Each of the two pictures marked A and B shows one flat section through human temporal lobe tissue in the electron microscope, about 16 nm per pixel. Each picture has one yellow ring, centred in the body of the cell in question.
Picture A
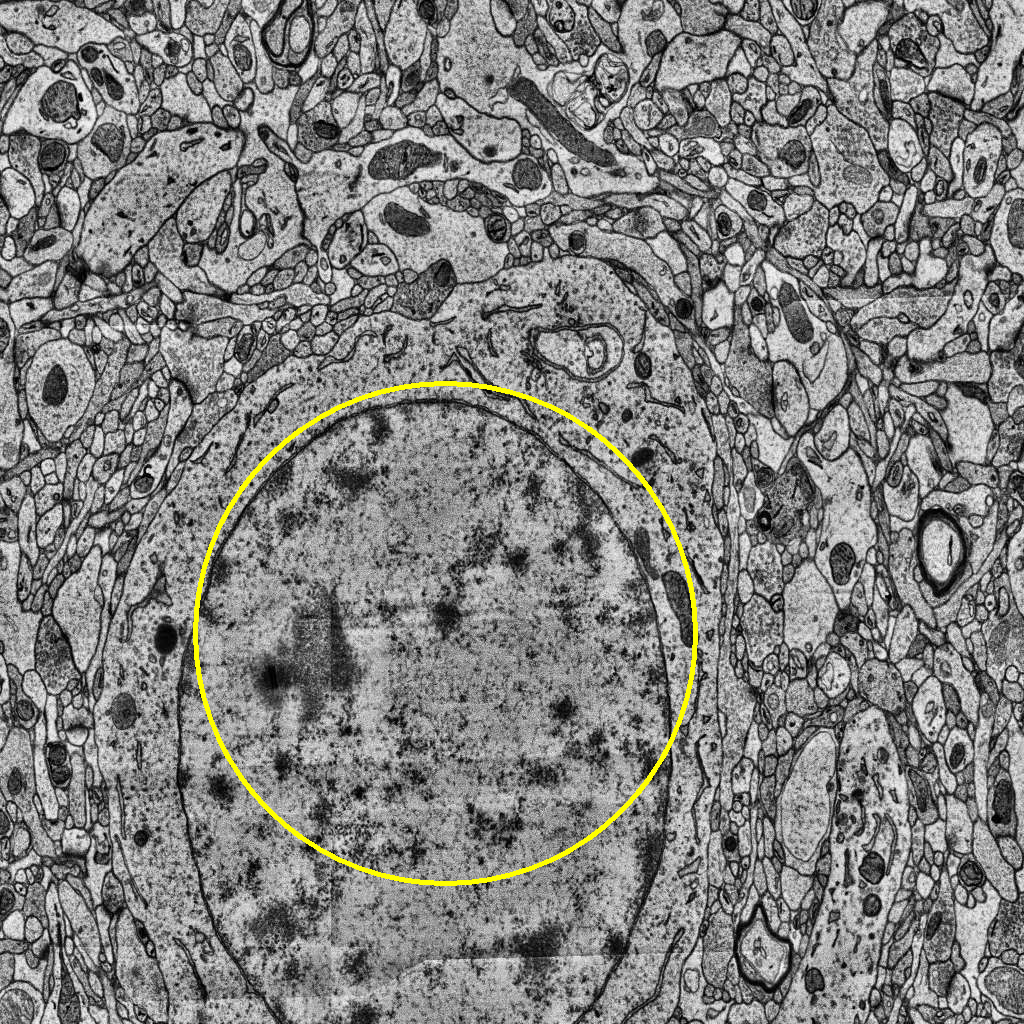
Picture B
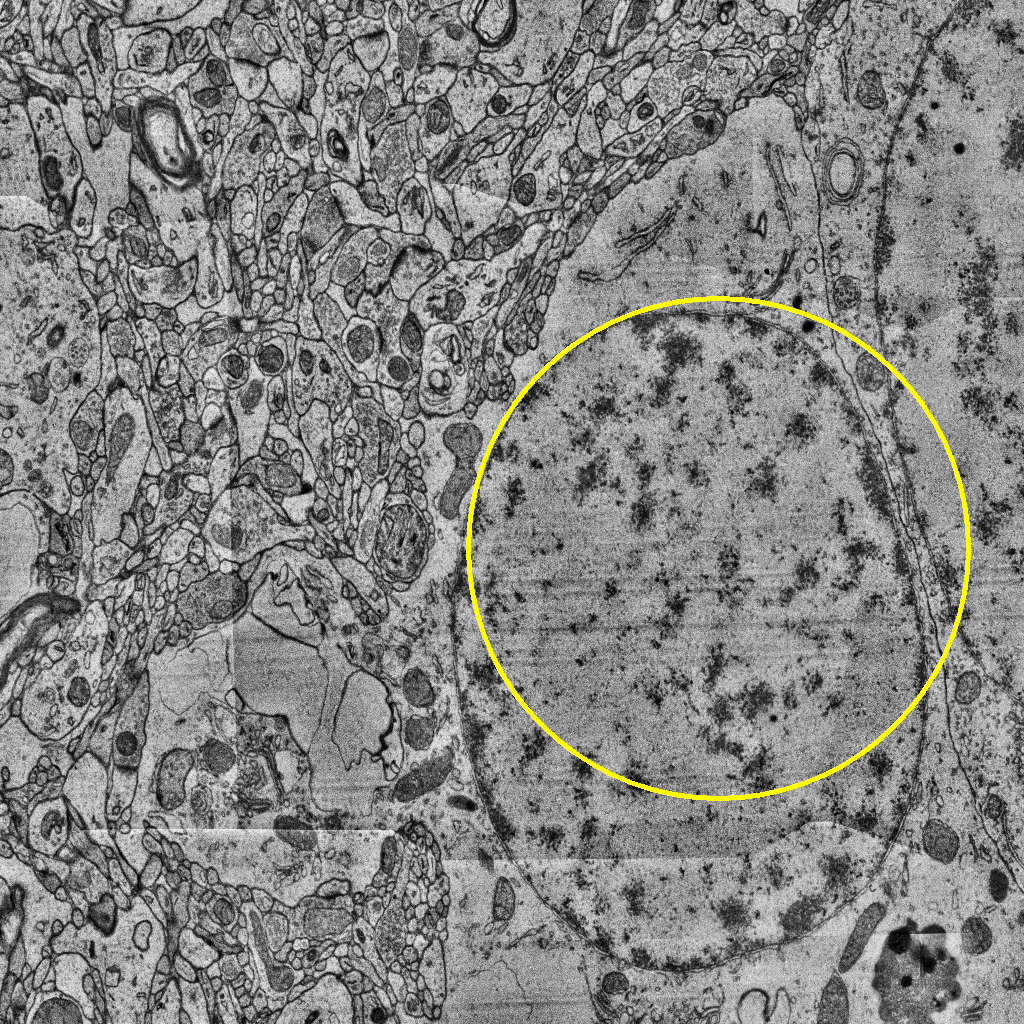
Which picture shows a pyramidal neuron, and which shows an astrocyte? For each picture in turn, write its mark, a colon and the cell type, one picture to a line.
A: pyramidal neuron
B: astrocyte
